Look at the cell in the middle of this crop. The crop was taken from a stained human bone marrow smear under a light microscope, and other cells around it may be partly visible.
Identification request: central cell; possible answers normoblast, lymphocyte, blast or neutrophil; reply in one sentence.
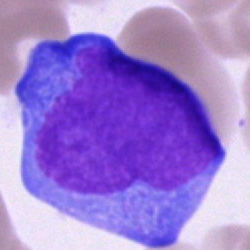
For this crop, the cell in the middle is a blast.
